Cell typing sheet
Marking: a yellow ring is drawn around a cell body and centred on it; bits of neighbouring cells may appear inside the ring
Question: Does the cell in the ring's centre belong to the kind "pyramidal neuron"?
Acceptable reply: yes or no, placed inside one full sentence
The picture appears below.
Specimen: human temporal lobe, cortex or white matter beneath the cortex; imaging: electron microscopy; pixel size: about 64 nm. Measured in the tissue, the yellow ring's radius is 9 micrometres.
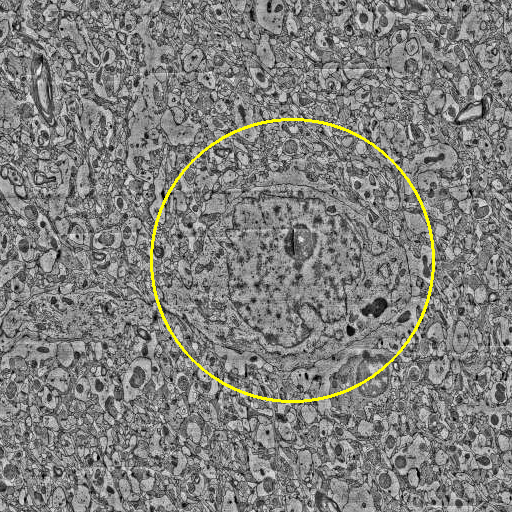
No, the cell at the centre of the ring belongs to a different kind.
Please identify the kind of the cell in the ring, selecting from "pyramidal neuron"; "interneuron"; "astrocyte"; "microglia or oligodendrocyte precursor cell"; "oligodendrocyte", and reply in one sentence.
The cell circled by the yellow ring is an interneuron.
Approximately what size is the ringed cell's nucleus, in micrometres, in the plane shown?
Approximately 9 micrometers across in this plane.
